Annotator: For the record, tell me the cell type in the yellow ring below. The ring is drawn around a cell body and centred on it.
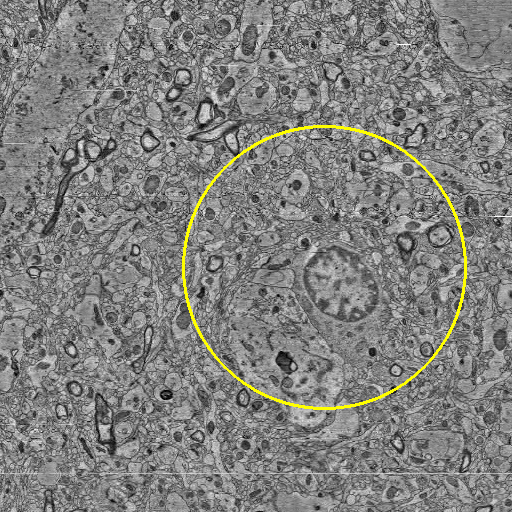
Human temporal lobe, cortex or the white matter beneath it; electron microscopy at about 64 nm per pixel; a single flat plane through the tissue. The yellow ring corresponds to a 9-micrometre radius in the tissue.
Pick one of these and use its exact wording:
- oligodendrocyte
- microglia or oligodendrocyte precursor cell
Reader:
oligodendrocyte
